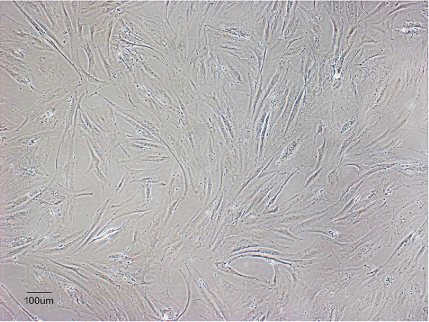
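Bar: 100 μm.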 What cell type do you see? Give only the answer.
Large spindle-shaped cells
